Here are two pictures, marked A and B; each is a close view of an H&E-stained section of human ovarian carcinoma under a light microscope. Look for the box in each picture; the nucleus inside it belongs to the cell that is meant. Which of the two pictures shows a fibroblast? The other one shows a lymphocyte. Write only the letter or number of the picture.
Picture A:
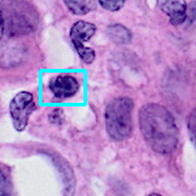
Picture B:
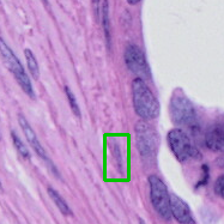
B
